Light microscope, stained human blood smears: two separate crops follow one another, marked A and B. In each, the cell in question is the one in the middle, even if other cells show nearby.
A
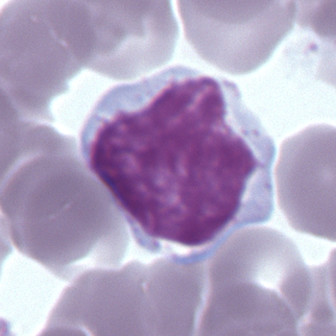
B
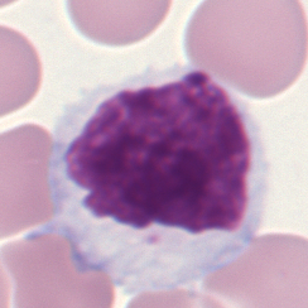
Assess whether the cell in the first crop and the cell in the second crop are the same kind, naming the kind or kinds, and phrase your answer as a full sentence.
No, what crop A shows is a typical lymphocyte, and what crop B shows is a hairy cell.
